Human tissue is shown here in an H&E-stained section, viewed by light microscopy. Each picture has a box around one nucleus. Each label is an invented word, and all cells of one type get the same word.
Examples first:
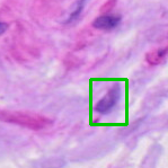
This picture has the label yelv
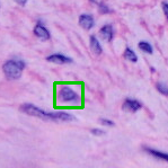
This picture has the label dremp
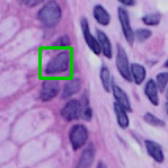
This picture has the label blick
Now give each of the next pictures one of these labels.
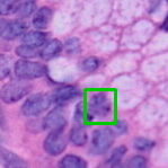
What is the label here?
blick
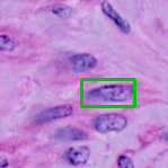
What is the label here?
dremp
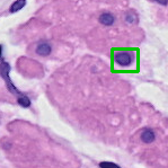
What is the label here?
dremp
